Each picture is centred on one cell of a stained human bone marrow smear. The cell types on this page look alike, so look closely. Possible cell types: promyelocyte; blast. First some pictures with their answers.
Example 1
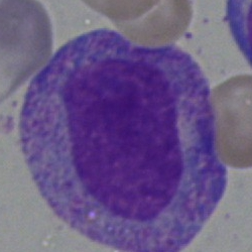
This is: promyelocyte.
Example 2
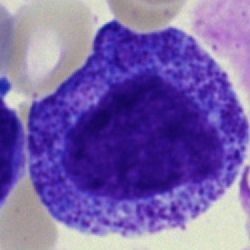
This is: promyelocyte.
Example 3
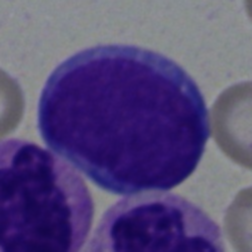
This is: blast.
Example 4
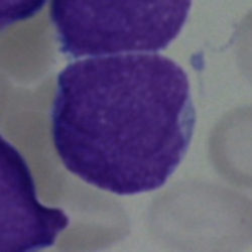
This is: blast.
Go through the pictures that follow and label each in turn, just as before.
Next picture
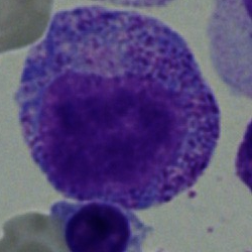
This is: promyelocyte.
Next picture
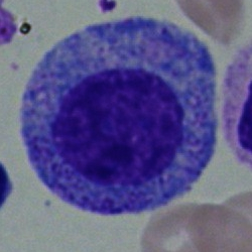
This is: promyelocyte.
